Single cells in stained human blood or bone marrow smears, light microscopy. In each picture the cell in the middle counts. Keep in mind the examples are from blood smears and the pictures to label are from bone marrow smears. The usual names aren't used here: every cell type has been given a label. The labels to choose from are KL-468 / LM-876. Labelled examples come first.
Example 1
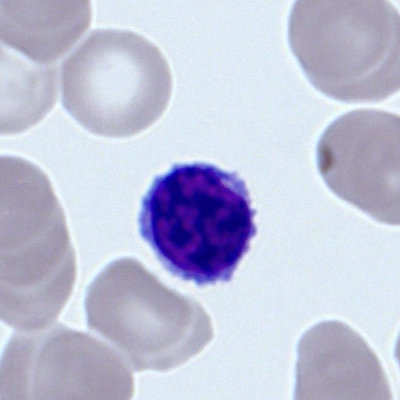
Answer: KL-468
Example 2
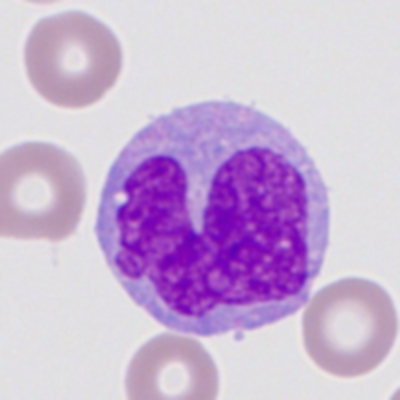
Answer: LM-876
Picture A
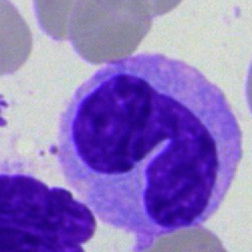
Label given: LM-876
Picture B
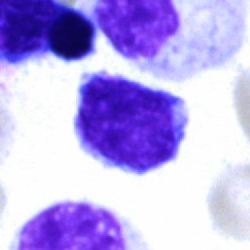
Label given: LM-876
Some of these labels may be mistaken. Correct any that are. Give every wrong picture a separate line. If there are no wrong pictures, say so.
B: change LM-876 to KL-468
